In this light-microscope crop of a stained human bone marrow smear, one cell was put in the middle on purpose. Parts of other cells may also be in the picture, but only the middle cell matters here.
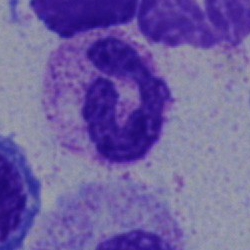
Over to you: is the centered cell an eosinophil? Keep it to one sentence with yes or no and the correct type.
No, what is centred in the crop is not an eosinophil but a neutrophil.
